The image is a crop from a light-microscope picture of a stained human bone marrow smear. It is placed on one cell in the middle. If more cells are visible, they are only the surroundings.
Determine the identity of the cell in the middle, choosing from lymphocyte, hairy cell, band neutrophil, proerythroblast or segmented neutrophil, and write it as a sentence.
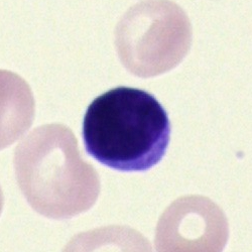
This particular crop is centered on a lymphocyte.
